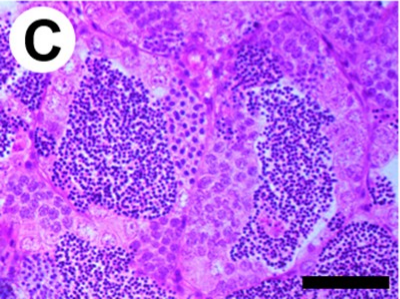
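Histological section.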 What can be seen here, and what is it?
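This section of fish testis shows tubule-like compartments whose lumens are densely packed with countless tiny, dark purple, round heads of mature spermatozoa. Around the packed lumens lie nests of larger germ cells with round, paler purple nuclei and pink cytoplasm. Thin pink strands of connective tissue separate the compartments. The picture is that of an actively producing testis, with the lumen full of mature sperm.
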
